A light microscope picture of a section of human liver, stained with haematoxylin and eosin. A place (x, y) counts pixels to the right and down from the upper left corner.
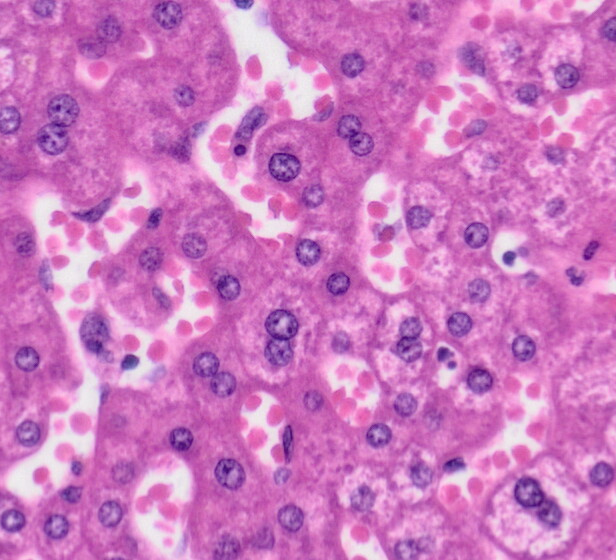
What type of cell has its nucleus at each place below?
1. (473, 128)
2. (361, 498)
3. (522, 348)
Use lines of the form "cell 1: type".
cell 1: Kupffer cell
cell 2: hepatocyte
cell 3: hepatocyte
